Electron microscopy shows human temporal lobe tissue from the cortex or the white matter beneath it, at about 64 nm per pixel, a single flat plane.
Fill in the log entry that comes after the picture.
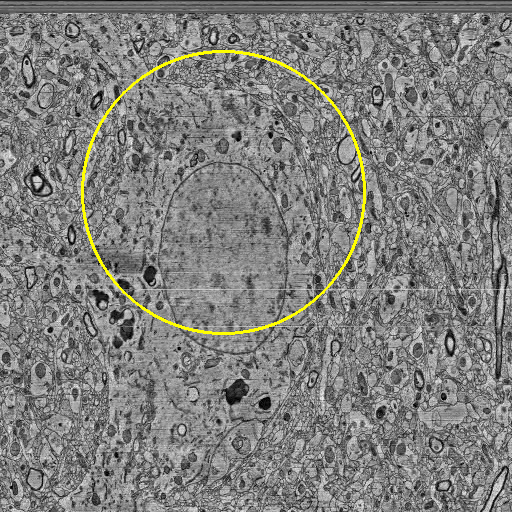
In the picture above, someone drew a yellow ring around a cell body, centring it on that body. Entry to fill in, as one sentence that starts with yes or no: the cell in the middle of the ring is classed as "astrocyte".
No, the cell in the ring's centre in this image is of a different kind.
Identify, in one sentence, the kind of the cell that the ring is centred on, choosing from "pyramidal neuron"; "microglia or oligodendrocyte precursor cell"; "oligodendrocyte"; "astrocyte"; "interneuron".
The cell circled by the yellow ring is a pyramidal neuron.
